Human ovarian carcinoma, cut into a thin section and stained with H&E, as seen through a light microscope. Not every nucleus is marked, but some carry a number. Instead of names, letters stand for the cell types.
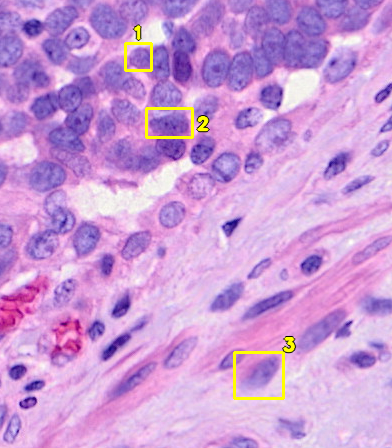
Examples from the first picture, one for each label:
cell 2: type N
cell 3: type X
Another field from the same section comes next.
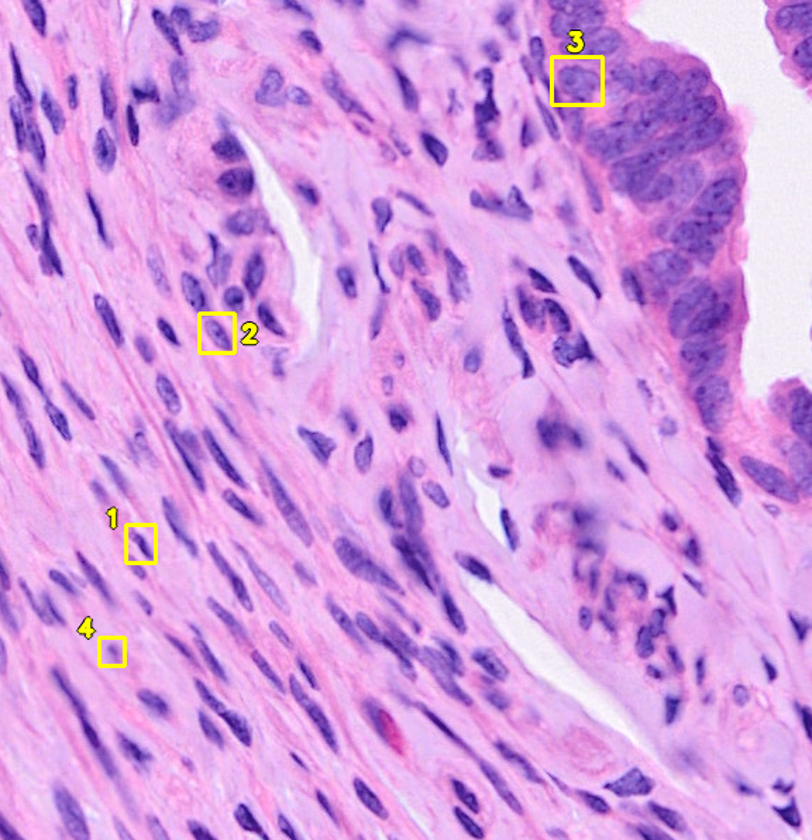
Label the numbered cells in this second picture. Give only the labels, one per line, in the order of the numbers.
type X
type X
type N
type X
